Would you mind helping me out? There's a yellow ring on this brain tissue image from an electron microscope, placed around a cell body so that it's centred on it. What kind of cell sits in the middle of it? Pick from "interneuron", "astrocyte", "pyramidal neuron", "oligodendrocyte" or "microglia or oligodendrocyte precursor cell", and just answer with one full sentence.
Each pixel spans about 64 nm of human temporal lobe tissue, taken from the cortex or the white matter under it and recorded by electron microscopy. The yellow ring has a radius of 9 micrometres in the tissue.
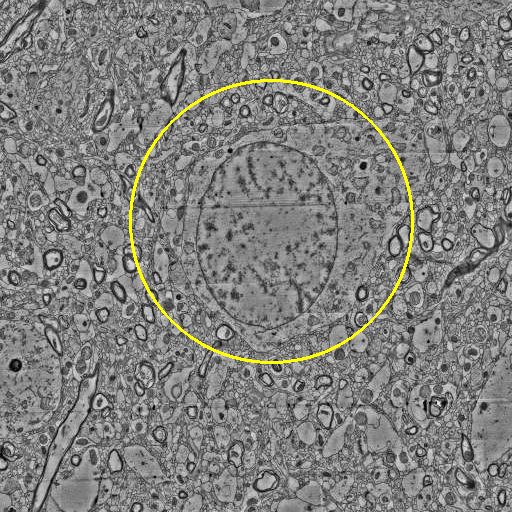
What sits in the middle of that yellow ring is a pyramidal neuron, from your choices.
